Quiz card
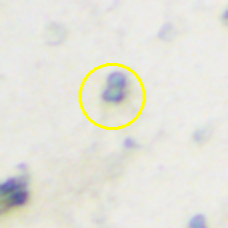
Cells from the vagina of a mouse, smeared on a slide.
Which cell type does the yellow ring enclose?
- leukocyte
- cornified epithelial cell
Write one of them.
leukocyte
